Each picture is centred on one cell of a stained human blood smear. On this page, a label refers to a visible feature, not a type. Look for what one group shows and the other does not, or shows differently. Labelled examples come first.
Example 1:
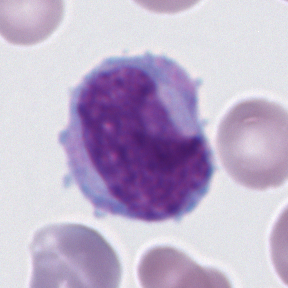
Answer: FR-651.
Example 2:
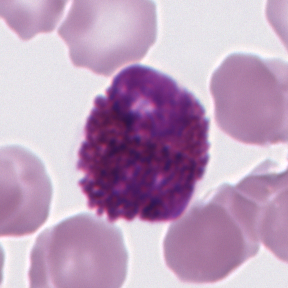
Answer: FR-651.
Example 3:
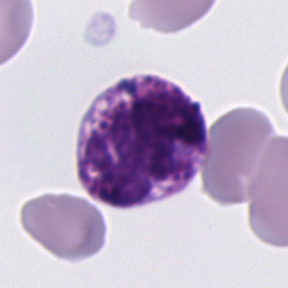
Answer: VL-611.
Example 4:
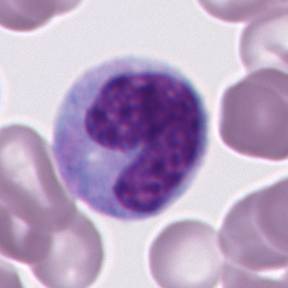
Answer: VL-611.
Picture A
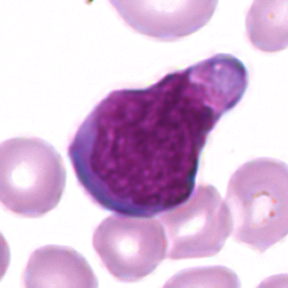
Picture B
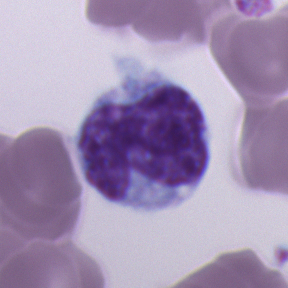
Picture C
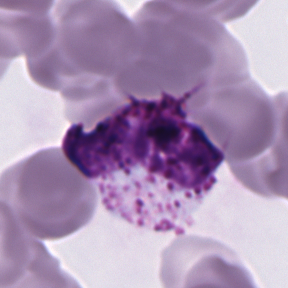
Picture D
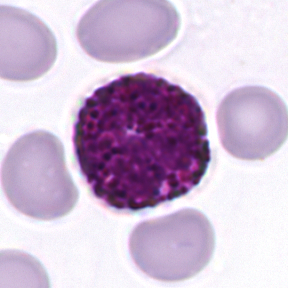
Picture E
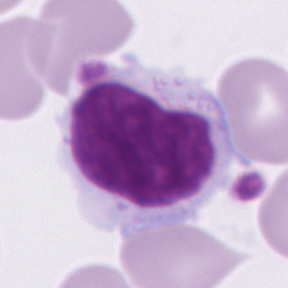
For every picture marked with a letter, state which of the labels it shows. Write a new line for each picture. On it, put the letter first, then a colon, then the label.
A: FR-651.
B: FR-651.
C: FR-651.
D: VL-611.
E: FR-651.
